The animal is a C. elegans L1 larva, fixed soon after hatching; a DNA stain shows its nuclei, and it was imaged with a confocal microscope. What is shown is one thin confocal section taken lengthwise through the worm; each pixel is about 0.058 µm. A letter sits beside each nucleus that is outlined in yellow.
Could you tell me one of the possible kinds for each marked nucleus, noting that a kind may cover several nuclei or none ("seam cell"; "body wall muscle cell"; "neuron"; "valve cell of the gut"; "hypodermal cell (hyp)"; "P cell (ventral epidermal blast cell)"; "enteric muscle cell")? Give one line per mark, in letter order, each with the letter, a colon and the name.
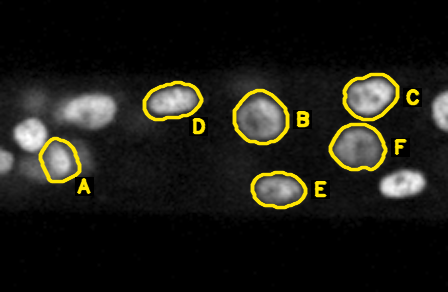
A: valve cell of the gut
B: seam cell
C: P cell (ventral epidermal blast cell)
D: enteric muscle cell
E: body wall muscle cell
F: hypodermal cell (hyp)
